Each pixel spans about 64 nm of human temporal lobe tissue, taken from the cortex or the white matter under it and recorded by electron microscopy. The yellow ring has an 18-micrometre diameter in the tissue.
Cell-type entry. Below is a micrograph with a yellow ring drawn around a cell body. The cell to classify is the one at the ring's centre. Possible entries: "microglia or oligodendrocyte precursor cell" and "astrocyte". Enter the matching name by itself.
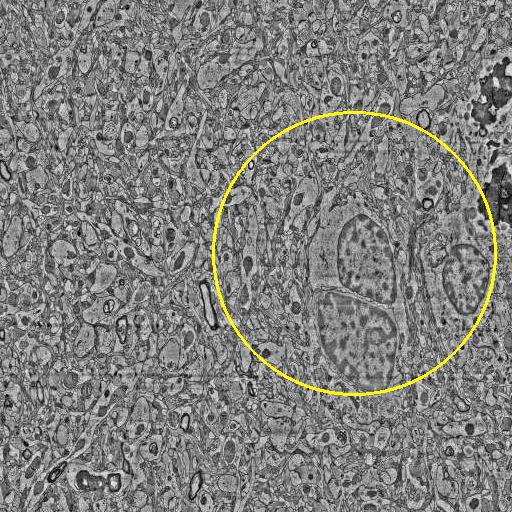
astrocyte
